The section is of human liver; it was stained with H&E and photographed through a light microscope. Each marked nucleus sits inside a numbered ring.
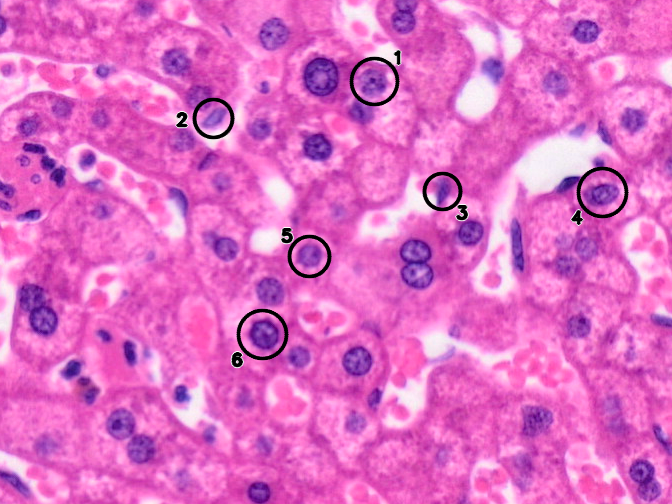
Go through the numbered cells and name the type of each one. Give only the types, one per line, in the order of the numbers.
hepatocyte
Kupffer cell
endothelial cell
hepatocyte
hepatocyte
hepatocyte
